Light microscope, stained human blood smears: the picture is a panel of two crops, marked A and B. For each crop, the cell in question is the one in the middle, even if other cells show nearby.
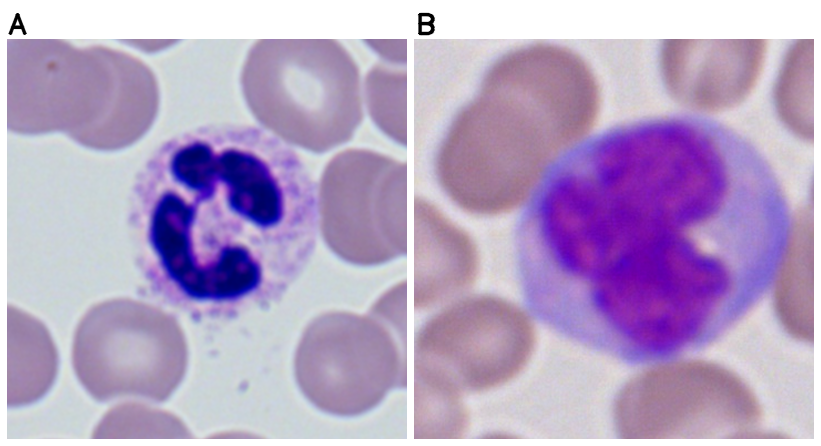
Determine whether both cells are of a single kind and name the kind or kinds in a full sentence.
No, record crop A as a neutrophil and crop B as a monocyte.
